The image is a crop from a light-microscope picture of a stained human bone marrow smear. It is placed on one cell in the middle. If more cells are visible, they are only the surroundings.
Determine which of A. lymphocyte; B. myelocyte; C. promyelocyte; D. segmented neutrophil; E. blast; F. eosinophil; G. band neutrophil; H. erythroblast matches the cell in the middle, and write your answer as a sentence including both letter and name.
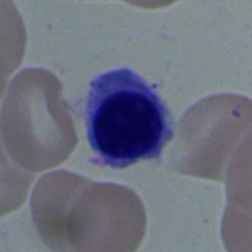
The central cell, an erythroblast, is correctly identified by option H.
